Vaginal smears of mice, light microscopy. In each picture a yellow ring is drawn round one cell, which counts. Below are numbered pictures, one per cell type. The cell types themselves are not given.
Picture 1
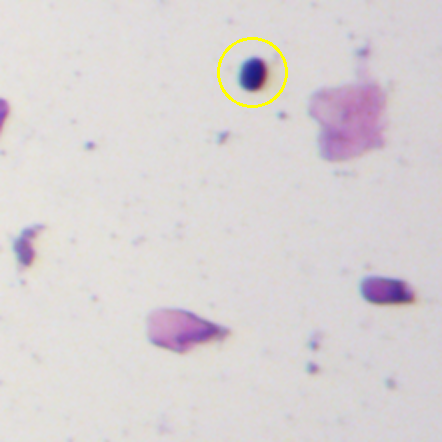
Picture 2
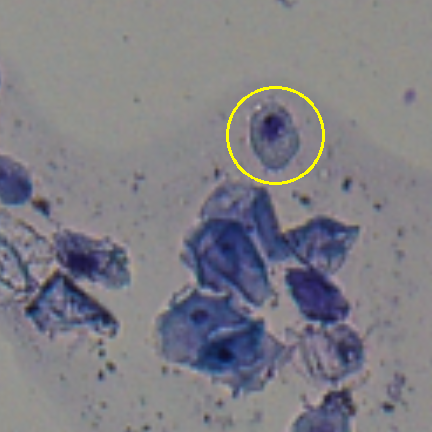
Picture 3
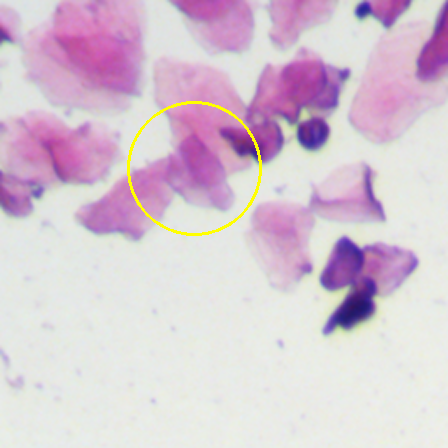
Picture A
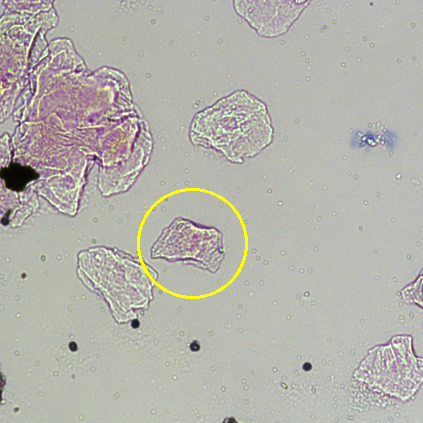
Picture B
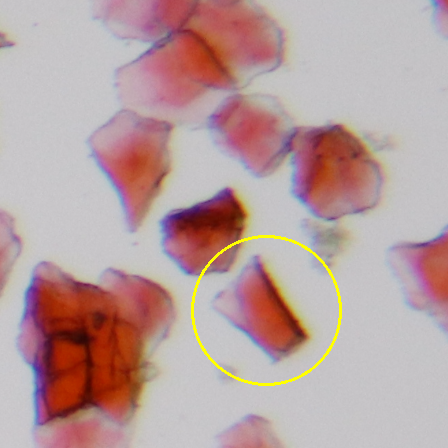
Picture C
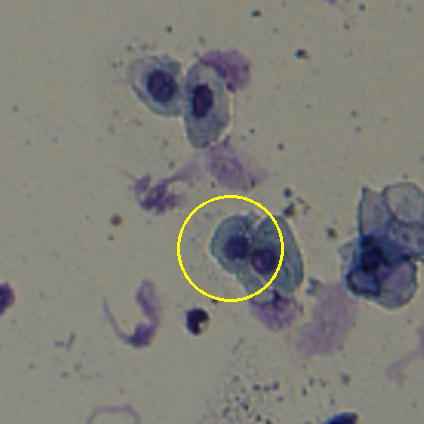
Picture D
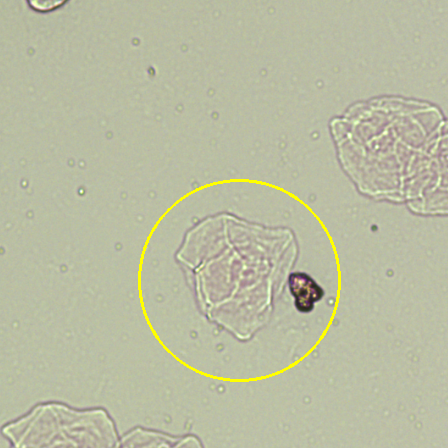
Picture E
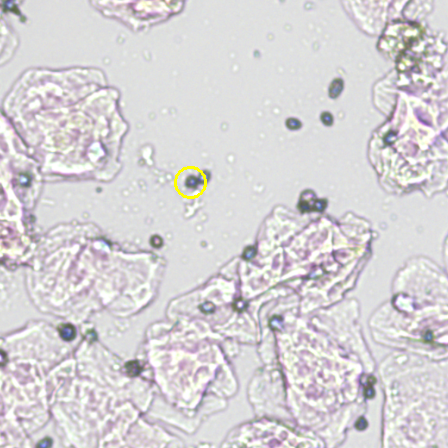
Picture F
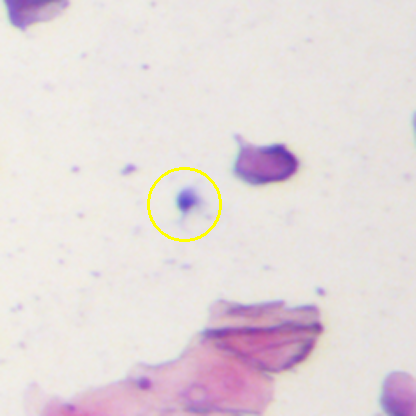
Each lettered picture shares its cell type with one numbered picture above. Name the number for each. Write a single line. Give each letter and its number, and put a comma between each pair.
A 3, B 3, C 2, D 3, E 1, F 1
